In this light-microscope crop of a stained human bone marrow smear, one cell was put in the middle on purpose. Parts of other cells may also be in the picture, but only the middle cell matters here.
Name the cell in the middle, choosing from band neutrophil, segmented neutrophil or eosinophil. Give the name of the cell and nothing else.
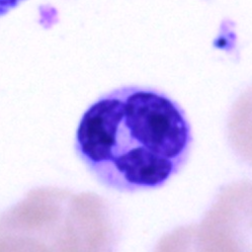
segmented neutrophil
